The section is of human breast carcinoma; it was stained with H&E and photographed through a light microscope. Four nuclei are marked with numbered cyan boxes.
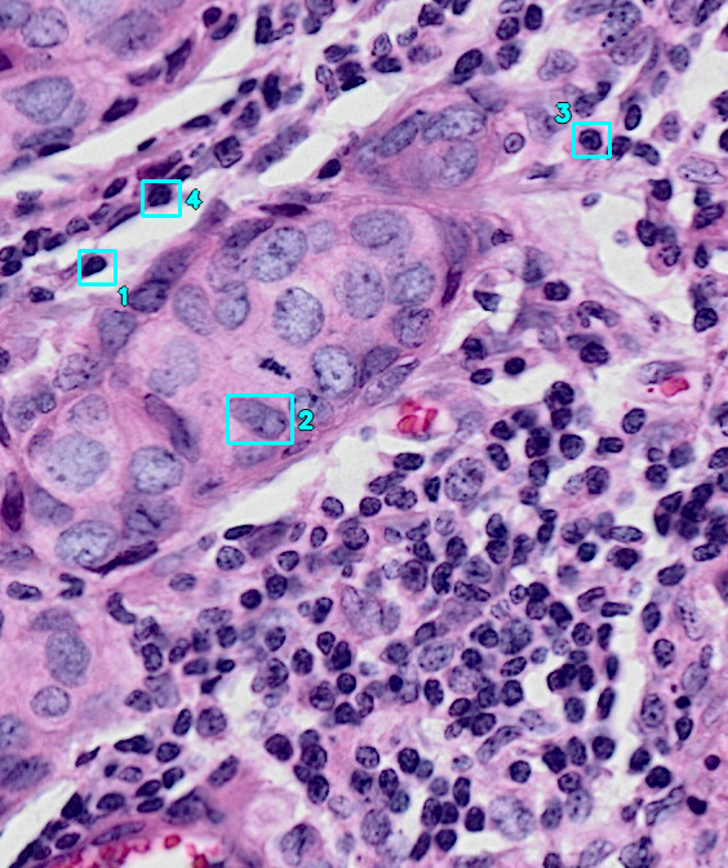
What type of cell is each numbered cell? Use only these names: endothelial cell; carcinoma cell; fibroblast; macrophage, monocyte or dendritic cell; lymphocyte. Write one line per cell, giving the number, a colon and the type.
1: lymphocyte
2: carcinoma cell
3: lymphocyte
4: lymphocyte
